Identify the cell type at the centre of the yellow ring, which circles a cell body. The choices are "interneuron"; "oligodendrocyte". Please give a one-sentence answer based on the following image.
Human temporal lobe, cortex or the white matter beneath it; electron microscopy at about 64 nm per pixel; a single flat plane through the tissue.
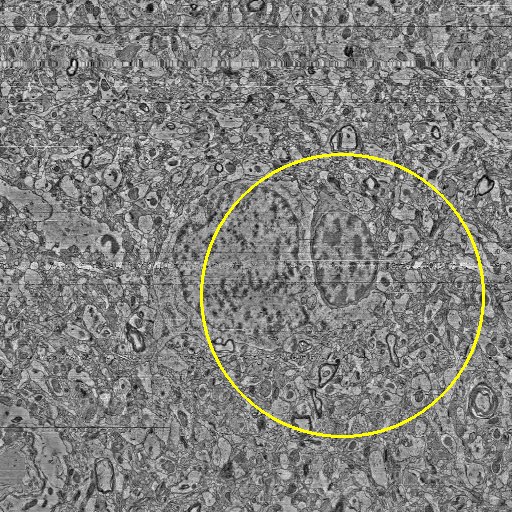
The cell marked by the ring is an oligodendrocyte.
